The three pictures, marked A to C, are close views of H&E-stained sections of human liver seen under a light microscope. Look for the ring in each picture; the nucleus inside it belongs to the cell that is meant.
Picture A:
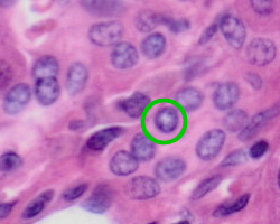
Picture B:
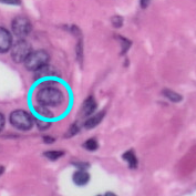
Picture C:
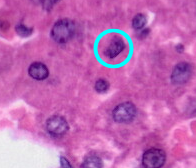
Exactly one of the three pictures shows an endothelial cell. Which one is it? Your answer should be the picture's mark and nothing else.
C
